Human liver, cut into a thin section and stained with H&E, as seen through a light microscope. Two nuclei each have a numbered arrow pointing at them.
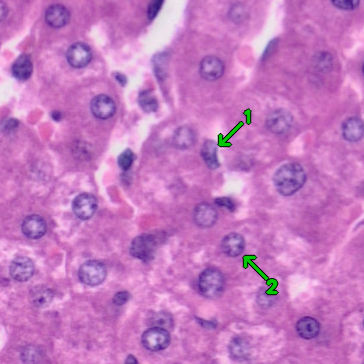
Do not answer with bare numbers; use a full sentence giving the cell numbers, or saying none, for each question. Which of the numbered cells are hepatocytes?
A single numbered cell, cell 2, is a hepatocyte.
